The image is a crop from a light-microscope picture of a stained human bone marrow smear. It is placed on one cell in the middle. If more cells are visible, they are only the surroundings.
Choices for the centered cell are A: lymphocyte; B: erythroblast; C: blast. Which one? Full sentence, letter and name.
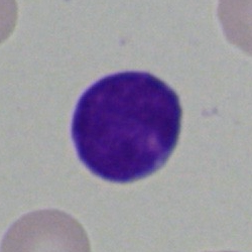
Option C is correct, and the cell in the centre is a blast.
